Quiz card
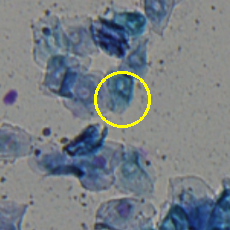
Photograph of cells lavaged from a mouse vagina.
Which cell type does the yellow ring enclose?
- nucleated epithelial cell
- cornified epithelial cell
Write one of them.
cornified epithelial cell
